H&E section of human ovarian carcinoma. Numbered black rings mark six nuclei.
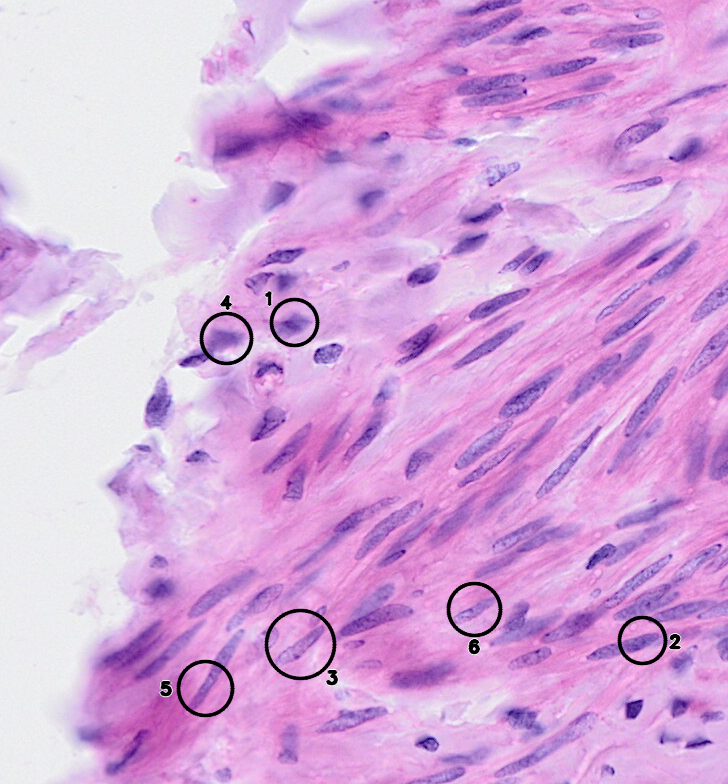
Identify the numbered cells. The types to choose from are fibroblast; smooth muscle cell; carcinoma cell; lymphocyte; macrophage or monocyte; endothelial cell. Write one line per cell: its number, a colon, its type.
1: fibroblast
2: smooth muscle cell
3: smooth muscle cell
4: fibroblast
5: smooth muscle cell
6: smooth muscle cell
